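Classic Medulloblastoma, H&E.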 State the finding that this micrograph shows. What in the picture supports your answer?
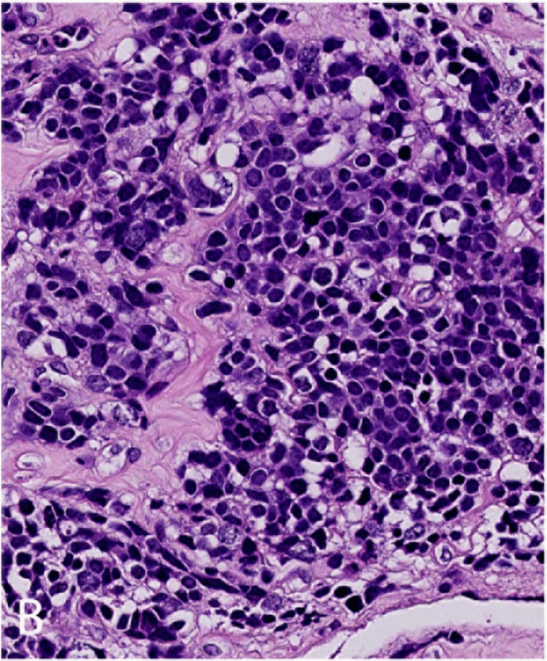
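Closely packed dark nuclei press against one another. Adjacent nuclei have flattened or indented contours where they touch. So: nuclear moulding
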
